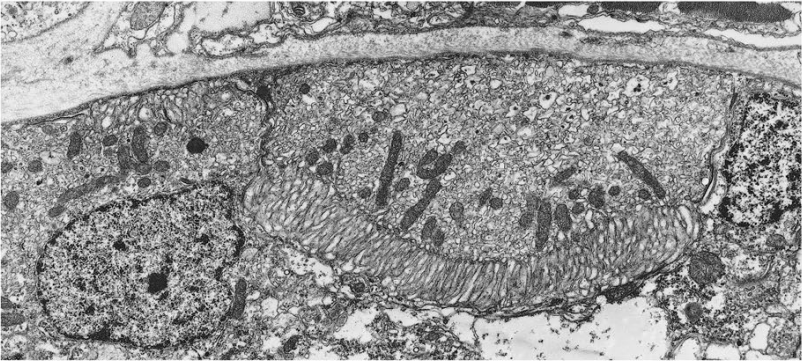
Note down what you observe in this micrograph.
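This electron micrograph shows two adjacent photoreceptor cells lying beneath a thick, pale band of extracellular matrix. The cell on the left shows a large oval nucleus with clumped dark chromatin and a nucleolus. The central part of the image is taken up by a curved band of very many thin, parallel, closely packed microvilli, cut so that they appear as a finely striated array. Above this array the cytoplasm contains numerous elongated and rounded dark mitochondria, and part of another nucleus with dense chromatin shows at the right edge.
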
